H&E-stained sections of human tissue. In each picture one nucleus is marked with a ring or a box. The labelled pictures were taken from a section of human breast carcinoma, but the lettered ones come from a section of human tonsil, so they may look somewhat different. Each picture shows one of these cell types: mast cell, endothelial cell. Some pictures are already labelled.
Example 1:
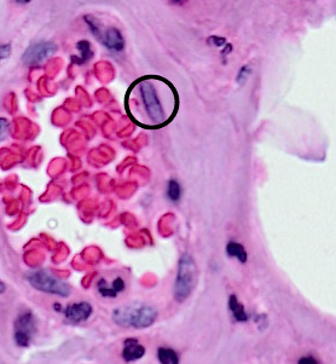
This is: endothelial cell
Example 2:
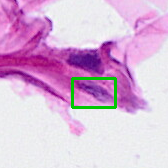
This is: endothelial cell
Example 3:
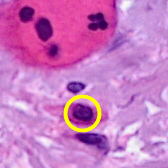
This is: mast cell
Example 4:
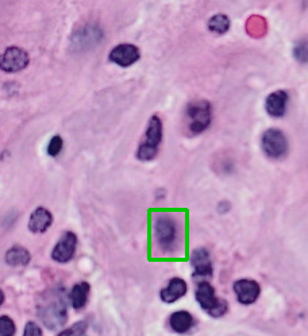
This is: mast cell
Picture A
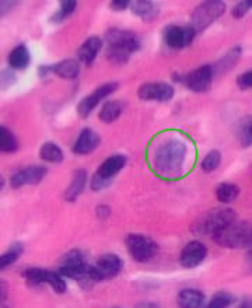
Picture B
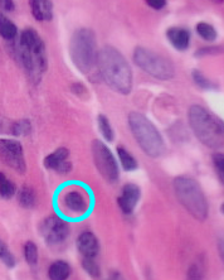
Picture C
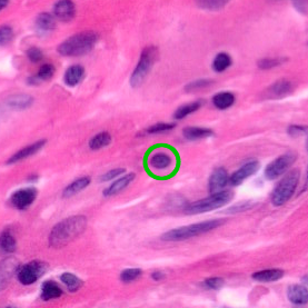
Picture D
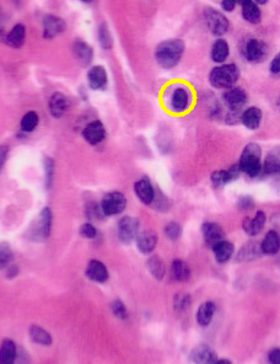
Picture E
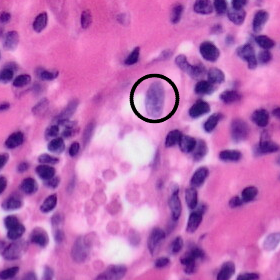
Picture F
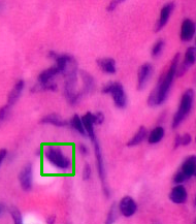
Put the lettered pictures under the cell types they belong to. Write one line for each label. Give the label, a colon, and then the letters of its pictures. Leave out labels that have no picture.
mast cell: B, C, D
endothelial cell: A, E, F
